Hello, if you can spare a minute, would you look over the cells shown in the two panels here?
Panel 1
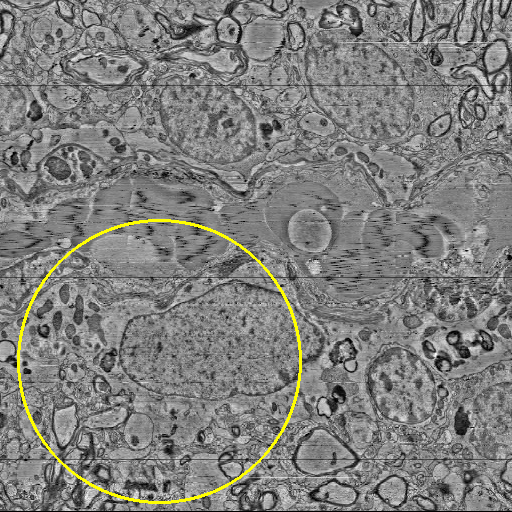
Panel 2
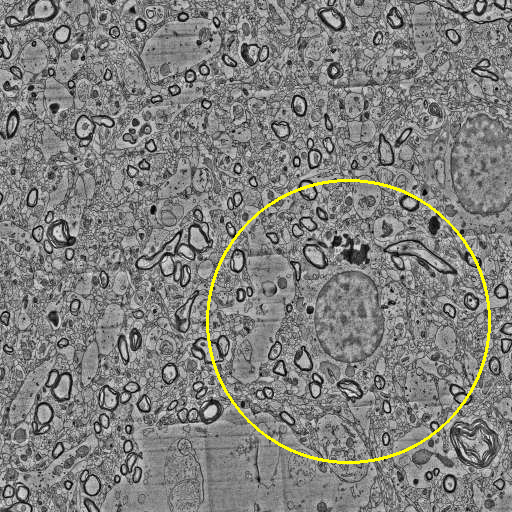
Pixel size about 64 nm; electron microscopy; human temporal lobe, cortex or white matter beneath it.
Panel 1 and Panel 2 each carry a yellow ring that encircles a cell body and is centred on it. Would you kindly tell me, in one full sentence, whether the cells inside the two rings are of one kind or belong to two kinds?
The cells at the centres of the rings in Panel 1 and Panel 2 belong to two kinds.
